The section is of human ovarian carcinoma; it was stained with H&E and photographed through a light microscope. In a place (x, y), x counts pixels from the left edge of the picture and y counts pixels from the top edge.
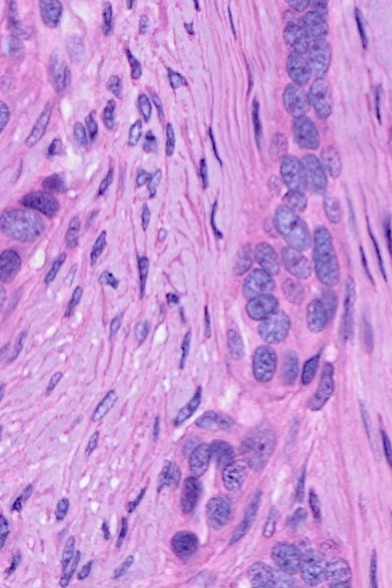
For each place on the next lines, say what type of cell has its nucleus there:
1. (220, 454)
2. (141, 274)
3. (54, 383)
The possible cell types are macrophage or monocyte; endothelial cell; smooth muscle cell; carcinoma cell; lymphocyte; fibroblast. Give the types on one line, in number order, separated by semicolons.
carcinoma cell; fibroblast; fibroblast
